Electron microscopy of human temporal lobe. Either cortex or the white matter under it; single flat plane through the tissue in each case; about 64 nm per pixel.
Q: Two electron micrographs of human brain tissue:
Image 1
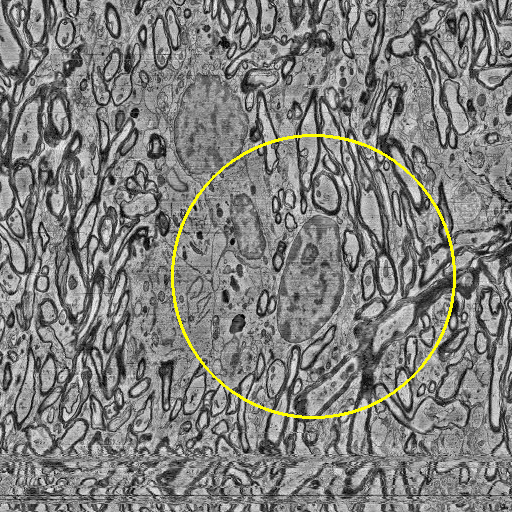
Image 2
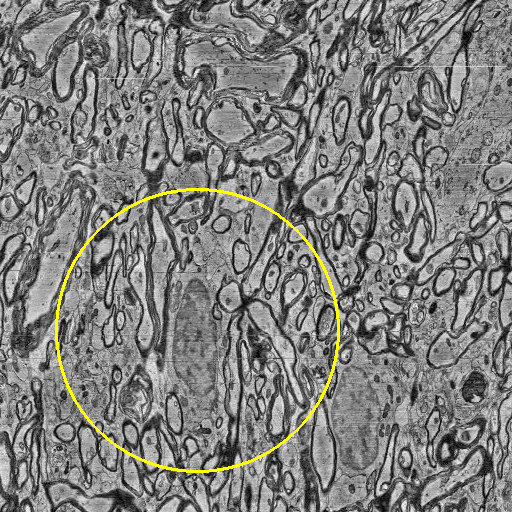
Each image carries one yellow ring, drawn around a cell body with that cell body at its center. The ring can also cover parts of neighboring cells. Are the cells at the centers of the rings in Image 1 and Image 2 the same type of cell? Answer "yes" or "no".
no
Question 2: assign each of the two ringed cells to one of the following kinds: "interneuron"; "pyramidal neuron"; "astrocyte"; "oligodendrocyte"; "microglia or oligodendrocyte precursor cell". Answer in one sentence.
The two cells are a microglial cell or oligodendrocyte precursor cell in the first picture and an oligodendrocyte in the second.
